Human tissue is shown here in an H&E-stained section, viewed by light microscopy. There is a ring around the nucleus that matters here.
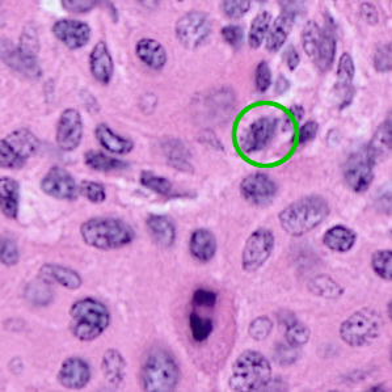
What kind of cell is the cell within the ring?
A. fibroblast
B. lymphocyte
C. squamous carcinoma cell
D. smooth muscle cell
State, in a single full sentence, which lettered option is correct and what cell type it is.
Option C is correct; the cell within the ring is a squamous carcinoma cell.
